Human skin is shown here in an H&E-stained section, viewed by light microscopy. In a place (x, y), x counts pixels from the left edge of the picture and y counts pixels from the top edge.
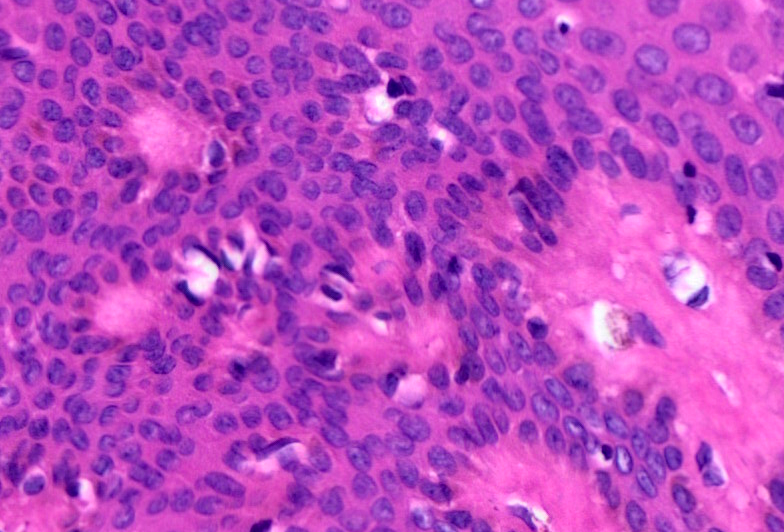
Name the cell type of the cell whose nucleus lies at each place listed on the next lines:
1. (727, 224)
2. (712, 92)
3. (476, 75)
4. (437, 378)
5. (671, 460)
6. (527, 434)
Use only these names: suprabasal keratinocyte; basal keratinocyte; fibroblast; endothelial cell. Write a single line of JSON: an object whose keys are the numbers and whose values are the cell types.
{"1": "basal keratinocyte", "2": "suprabasal keratinocyte", "3": "suprabasal keratinocyte", "4": "basal keratinocyte", "5": "basal keratinocyte", "6": "basal keratinocyte"}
